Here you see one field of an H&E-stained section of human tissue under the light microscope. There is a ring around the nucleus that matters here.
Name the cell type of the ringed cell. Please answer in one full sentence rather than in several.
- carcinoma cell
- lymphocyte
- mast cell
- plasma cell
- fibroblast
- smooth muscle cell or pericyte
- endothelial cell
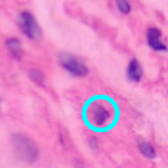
As for its identity, the ringed cell is a smooth muscle cell or pericyte.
